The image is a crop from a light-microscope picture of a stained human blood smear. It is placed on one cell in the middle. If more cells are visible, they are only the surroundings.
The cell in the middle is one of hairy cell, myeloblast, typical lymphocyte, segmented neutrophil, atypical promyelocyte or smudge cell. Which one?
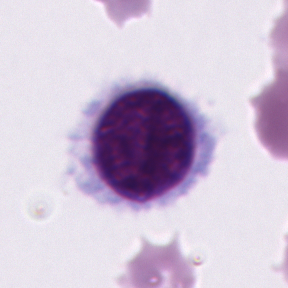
hairy cell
